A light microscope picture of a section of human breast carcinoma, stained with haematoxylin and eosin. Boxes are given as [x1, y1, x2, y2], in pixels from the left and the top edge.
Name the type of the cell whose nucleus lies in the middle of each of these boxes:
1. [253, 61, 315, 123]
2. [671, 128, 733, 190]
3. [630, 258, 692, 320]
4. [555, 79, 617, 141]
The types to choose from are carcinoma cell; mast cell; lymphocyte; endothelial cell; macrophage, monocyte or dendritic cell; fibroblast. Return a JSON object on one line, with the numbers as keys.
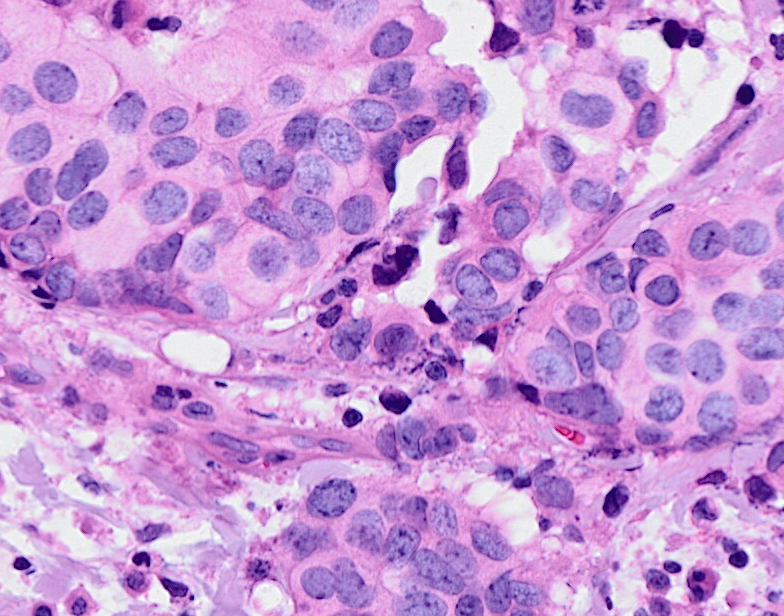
{"1": "carcinoma cell", "2": "fibroblast", "3": "carcinoma cell", "4": "carcinoma cell"}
